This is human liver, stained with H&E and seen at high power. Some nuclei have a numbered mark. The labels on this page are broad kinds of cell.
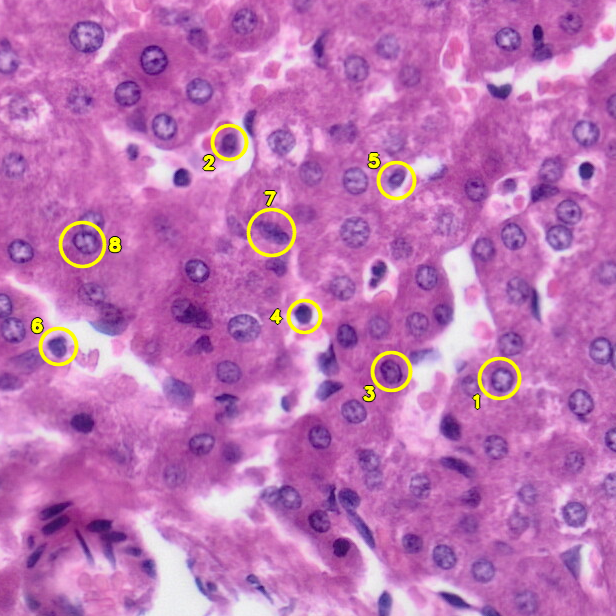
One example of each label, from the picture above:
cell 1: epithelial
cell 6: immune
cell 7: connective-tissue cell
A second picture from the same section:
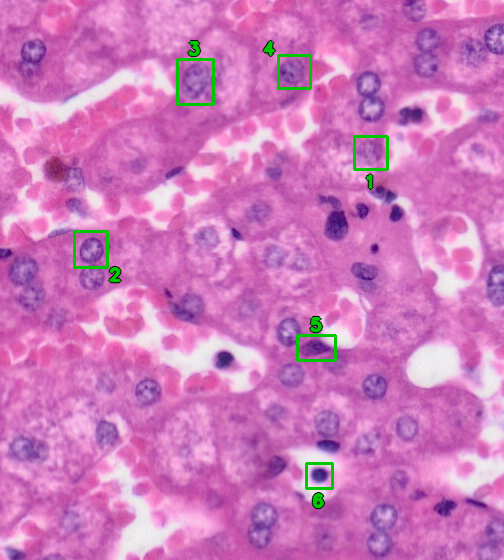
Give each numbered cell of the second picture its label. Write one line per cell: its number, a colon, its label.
1: epithelial
2: epithelial
3: epithelial
4: epithelial
5: connective-tissue cell
6: immune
